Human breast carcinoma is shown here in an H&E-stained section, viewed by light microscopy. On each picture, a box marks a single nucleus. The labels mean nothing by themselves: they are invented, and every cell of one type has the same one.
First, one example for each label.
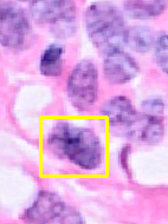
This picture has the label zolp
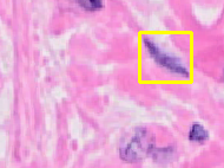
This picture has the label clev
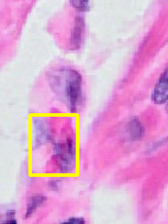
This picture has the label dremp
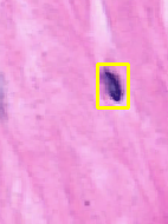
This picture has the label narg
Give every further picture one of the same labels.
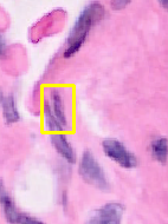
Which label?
dremp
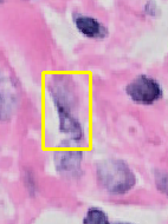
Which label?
clev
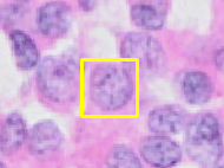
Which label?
zolp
